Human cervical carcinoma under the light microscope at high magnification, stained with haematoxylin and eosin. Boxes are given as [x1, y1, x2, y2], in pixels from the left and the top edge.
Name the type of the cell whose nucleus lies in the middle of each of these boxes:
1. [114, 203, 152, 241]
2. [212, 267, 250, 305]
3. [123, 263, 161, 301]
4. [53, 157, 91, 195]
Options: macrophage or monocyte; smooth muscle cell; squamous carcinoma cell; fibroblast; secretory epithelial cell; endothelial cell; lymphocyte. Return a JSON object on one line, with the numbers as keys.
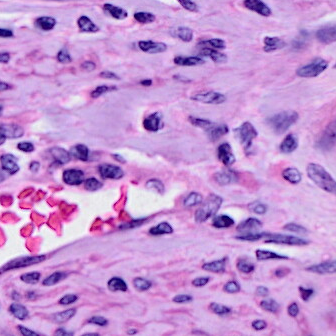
{"1": "endothelial cell", "2": "smooth muscle cell", "3": "smooth muscle cell", "4": "lymphocyte"}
